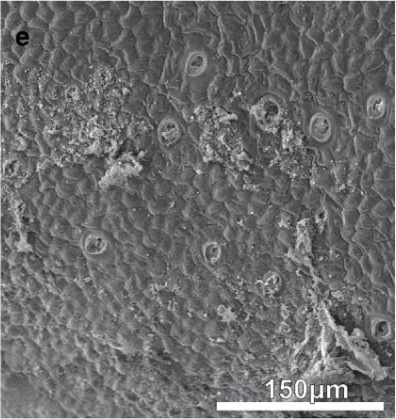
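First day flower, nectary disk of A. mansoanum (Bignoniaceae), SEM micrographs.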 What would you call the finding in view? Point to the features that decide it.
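Fluffy, granular clumps of material lie on the epidermal surface. The deposits are patchy among the stomata.
Flocculant secretion residues.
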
